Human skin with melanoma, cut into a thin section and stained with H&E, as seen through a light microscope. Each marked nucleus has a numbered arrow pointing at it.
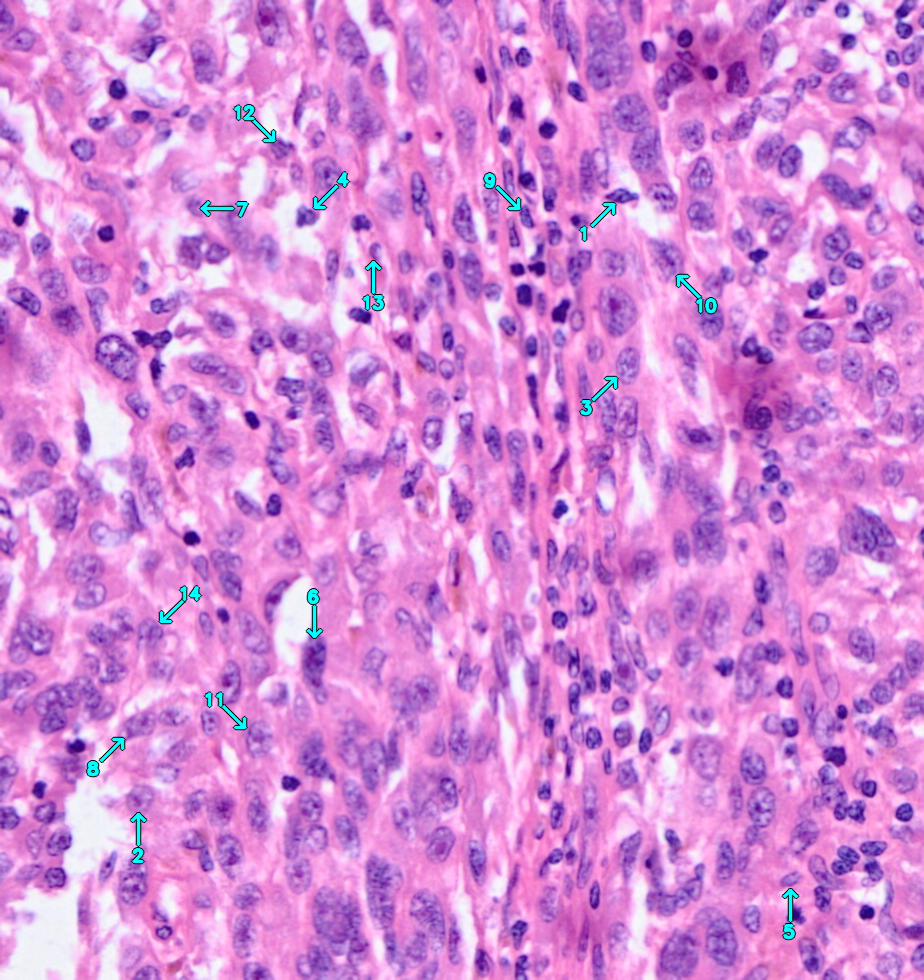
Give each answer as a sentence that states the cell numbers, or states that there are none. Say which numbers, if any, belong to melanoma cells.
When it comes to cells 2, 3, 6, 8, 10, 11, 12 and 14, they are melanoma cells.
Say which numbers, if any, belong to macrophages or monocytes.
The cells with the number labels 5, 7 and 13 are macrophages or monocytes.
